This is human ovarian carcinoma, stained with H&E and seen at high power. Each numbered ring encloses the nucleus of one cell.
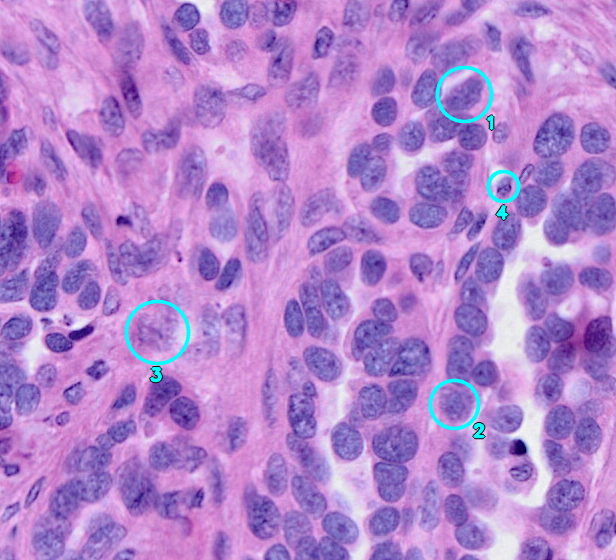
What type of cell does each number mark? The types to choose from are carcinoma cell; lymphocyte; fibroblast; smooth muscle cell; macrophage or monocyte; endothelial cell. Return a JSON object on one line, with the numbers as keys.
{"1": "carcinoma cell", "2": "carcinoma cell", "3": "fibroblast", "4": "macrophage or monocyte"}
